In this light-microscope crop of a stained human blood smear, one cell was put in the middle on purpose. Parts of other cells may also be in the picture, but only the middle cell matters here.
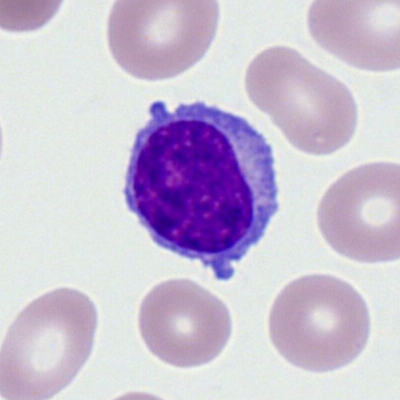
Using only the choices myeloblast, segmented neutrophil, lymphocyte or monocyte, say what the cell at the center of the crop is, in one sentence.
As for the central cell, it is a lymphocyte.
